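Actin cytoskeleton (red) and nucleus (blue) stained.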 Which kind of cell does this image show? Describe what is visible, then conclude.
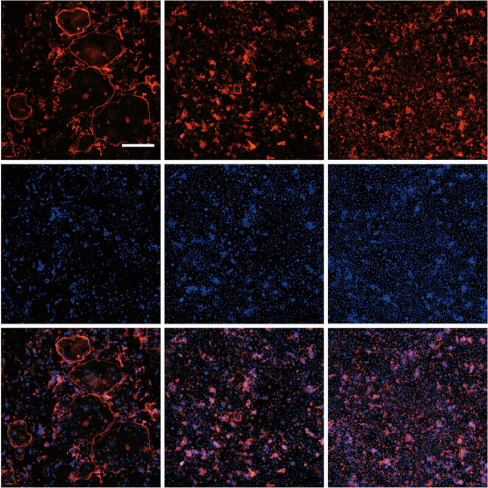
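Very large cells, many times the size of the surrounding small cells. The large cells are rimmed by a red ring at their edge.
Conclusion: osteoclasts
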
